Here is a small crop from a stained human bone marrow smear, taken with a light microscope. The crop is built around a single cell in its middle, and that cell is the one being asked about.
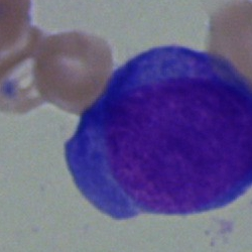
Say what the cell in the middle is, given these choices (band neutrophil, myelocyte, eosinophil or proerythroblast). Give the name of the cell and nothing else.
proerythroblast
